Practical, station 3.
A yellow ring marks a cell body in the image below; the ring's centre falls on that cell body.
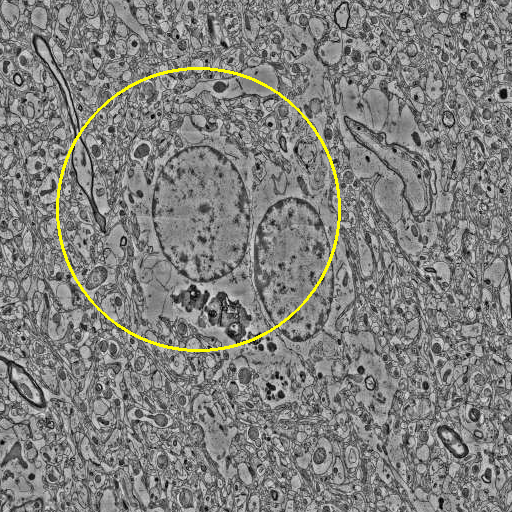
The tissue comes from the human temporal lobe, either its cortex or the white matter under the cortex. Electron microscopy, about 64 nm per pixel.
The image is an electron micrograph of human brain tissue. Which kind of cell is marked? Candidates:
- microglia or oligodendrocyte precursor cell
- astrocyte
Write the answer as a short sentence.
The marked cell body is that of an astrocyte.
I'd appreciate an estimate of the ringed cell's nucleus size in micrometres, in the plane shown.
In this plane, approximately 9 by 6 micrometers.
